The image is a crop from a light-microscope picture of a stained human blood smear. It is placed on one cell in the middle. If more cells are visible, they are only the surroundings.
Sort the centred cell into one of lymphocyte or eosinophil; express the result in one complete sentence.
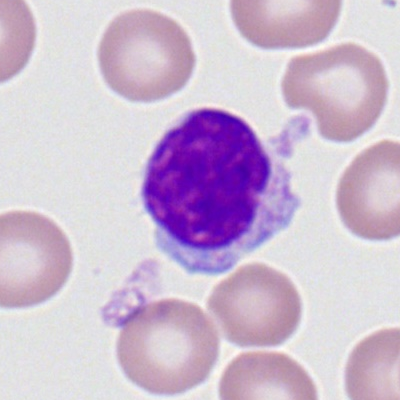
Located at the centre of the crop is a lymphocyte.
